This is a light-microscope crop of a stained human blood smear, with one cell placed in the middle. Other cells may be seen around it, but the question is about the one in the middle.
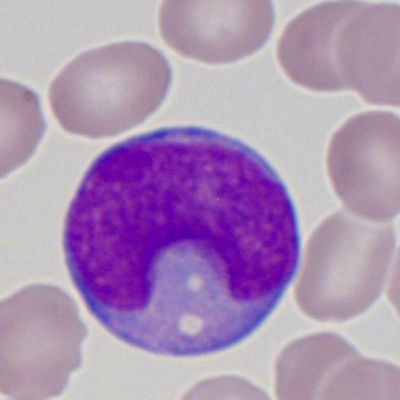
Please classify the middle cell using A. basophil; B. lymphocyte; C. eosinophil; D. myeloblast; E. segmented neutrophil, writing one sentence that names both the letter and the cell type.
Occupying the middle of the crop is a myeloblast, hence option D is correct.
